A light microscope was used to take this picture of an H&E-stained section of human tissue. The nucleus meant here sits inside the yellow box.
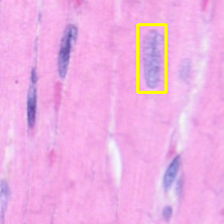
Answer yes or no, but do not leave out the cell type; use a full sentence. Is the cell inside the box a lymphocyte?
No, it is not as a lymphocyte but as a cardiomyocyte that the cell inside the box is classed.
